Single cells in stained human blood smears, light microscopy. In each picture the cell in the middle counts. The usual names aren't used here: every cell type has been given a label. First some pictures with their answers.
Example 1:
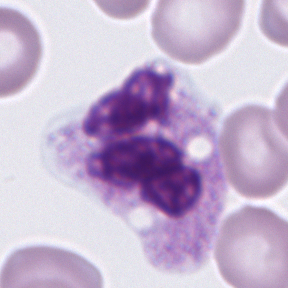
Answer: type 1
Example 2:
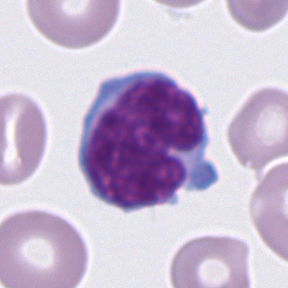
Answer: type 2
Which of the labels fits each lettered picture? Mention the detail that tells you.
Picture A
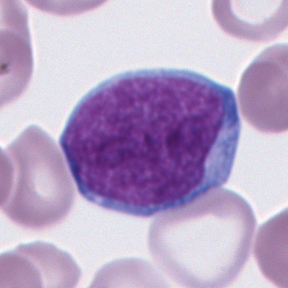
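type 2. Evidence: The cytoplasm forms a narrow rim that is widest on the right side.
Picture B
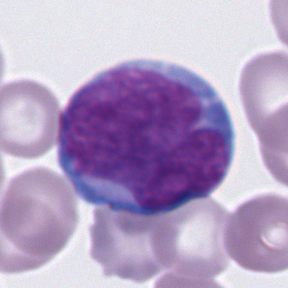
type 2. Evidence: The cytoplasm is blue.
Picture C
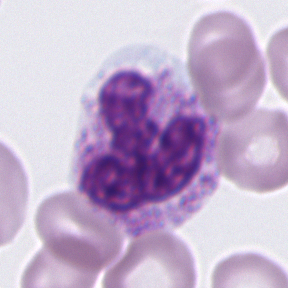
type 1. Evidence: The nucleus is divided into three lobes joined together.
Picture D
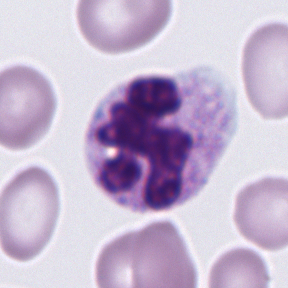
type 1. Evidence: The cytoplasm is pale lilac-pink rather than blue.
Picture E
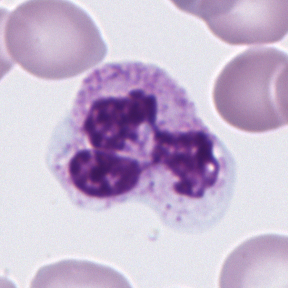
type 1. Evidence: The nucleus forms several lobe-like masses joined to one another.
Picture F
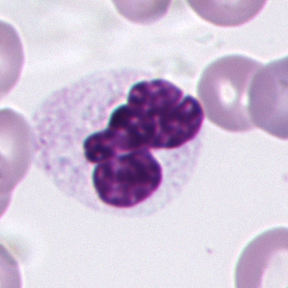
type 1. Evidence: The cytoplasm is very pale, with a faint pinkish-lilac tint.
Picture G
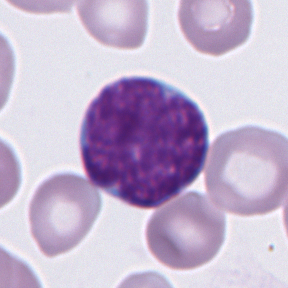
type 2. Evidence: The cytoplasm is only a thin rim, most visible at the lower left.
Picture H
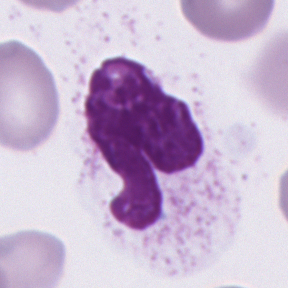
type 1. Evidence: The cytoplasm is pale and nearly colourless rather than blue.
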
